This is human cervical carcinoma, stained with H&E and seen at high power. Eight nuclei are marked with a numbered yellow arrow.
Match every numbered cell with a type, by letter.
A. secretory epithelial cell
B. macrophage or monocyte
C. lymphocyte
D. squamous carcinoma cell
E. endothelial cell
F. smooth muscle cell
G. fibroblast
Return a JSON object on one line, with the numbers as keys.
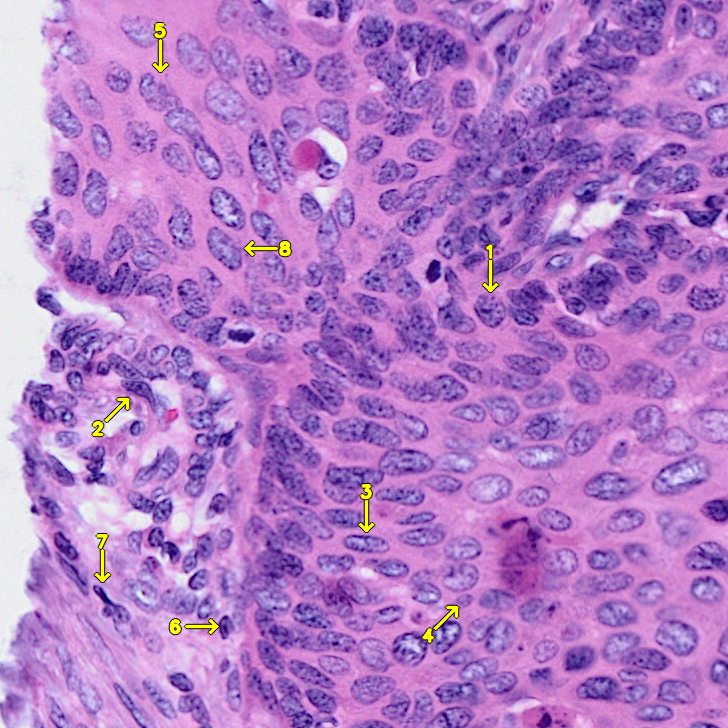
{"1": "D", "2": "E", "3": "D", "4": "D", "5": "D", "6": "C", "7": "C", "8": "D"}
